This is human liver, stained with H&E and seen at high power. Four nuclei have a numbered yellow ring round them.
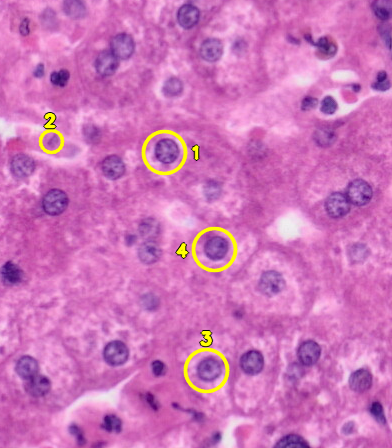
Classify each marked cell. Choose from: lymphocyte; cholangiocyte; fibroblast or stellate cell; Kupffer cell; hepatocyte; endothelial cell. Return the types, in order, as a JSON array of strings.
["hepatocyte", "Kupffer cell", "hepatocyte", "hepatocyte"]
